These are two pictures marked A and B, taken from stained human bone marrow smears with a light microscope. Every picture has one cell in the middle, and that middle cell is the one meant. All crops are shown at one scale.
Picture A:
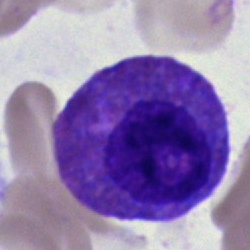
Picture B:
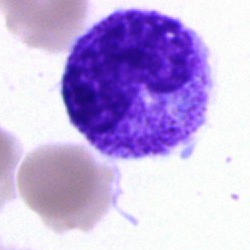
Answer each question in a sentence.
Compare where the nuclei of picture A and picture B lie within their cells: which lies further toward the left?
It is the nucleus in picture B that lies further toward the left of its cell.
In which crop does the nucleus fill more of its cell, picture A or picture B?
Of the two, the nucleus in picture B makes up the greater part of its cell.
